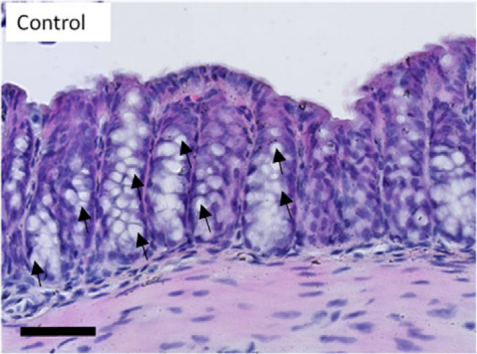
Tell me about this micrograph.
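Colonic mucosa with regular, closely packed crypts lined by columnar epithelium and abundant goblet cells. The goblet cells appear as pale, clear, rounded vacuoles filling much of the crypt lining, interspersed with darkly purple nuclei of absorptive and crypt epithelial cells. The crypts are short and evenly spaced, resting on a thin lamina propria above a pink band of smooth muscle at the bottom of the image. The luminal surface is intact and continuous.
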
